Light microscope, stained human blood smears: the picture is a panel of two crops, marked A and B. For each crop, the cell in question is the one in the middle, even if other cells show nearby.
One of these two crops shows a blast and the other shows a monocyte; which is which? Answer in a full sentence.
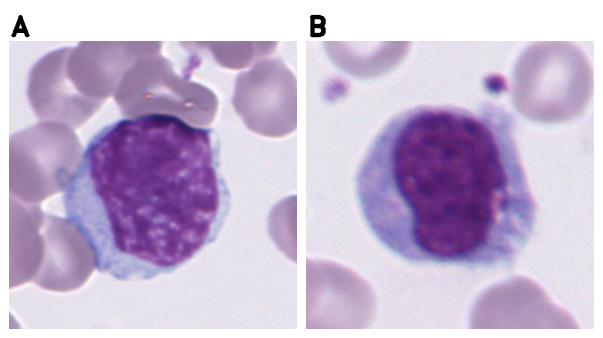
Crop A has a blast at its centre, and crop B has a monocyte.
